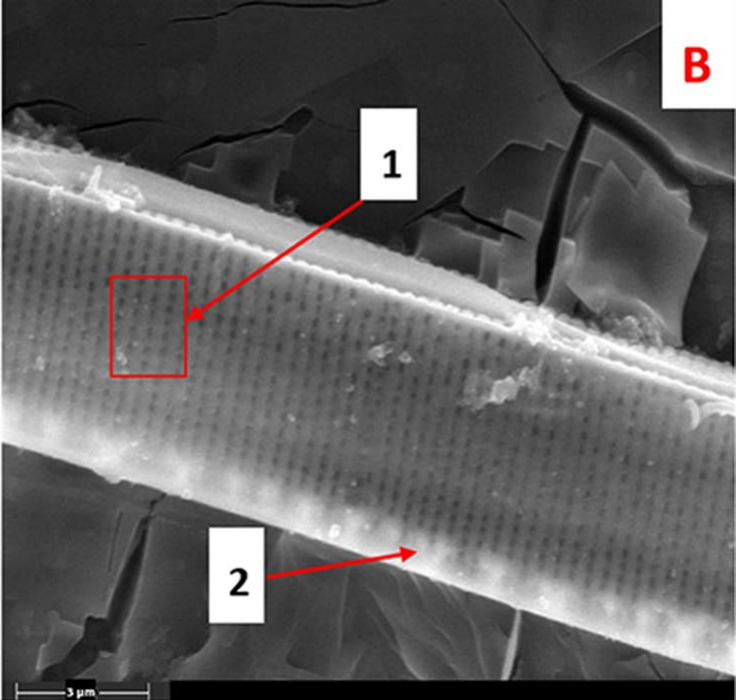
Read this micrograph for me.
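Diatom frustule surface seen close up, showing a flat valve face crossed by closely set transverse striae, each a row of small dark pores aligned at regular intervals across the valve width. Along the upper margin runs a raised, bright ridge with fine beading. The lower margin is a brighter band bearing a row of evenly spaced fibulae, appearing as pale beads or bridges. Small flecks of debris lie on the surface. The frustule rests on a dark, cracked, flaky background.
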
